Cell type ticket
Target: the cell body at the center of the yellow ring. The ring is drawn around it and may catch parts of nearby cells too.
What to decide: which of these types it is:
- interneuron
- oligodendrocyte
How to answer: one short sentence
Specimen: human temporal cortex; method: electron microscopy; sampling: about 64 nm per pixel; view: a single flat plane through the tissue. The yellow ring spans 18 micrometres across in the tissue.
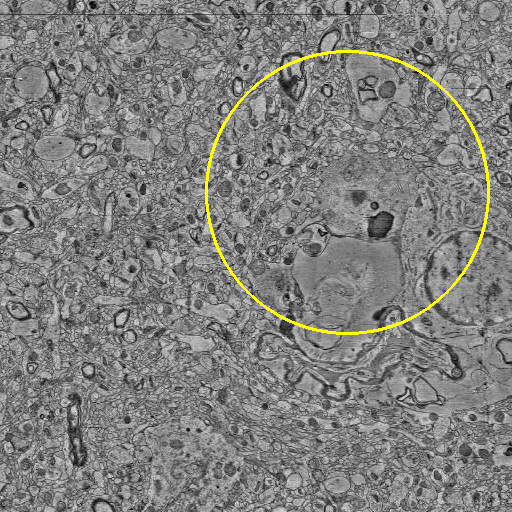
The cell at the center of the ring is an oligodendrocyte.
